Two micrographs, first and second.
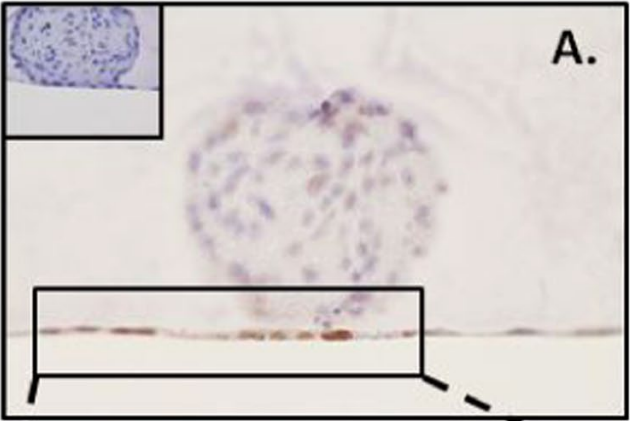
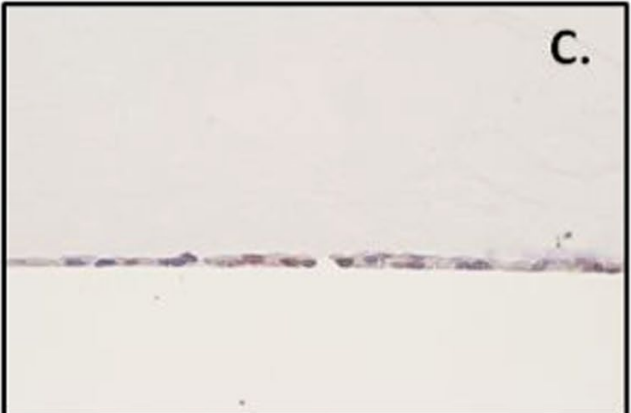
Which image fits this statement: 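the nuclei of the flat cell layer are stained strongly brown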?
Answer: The first image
